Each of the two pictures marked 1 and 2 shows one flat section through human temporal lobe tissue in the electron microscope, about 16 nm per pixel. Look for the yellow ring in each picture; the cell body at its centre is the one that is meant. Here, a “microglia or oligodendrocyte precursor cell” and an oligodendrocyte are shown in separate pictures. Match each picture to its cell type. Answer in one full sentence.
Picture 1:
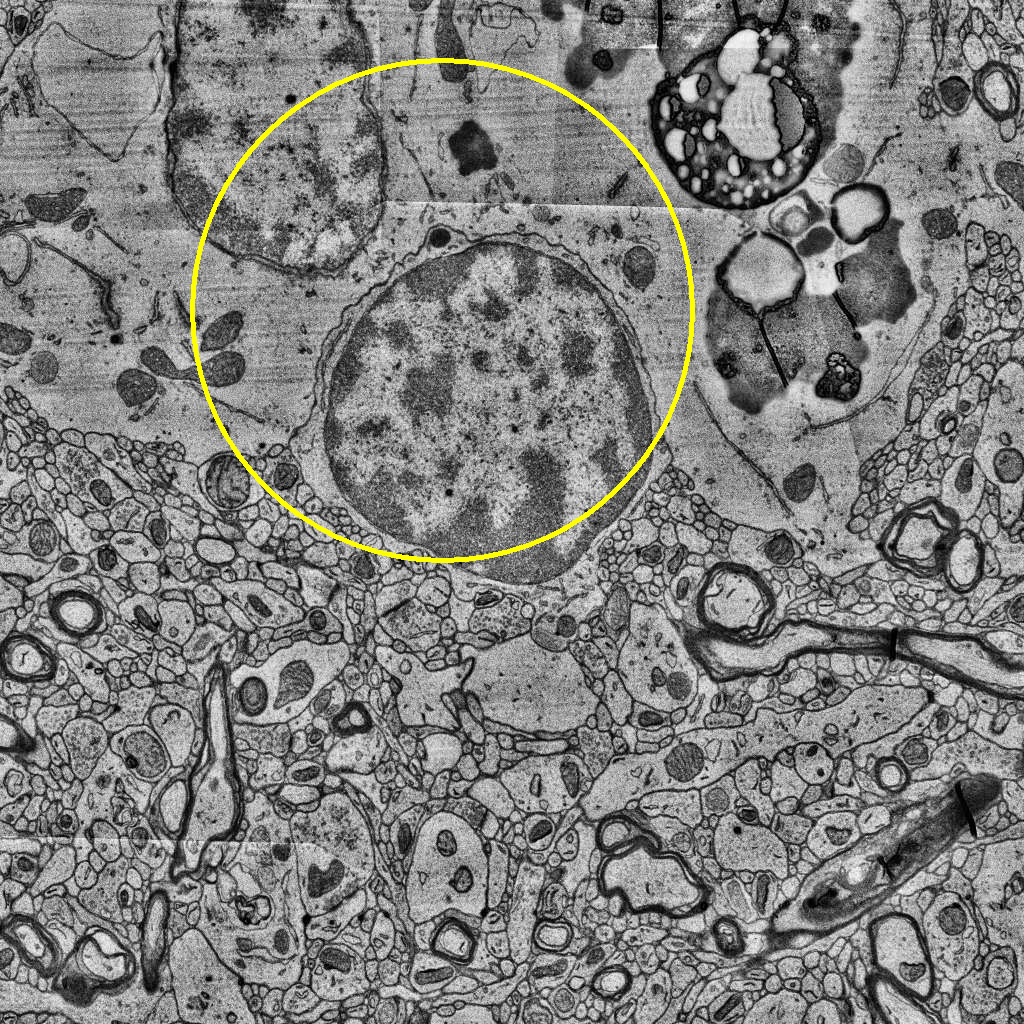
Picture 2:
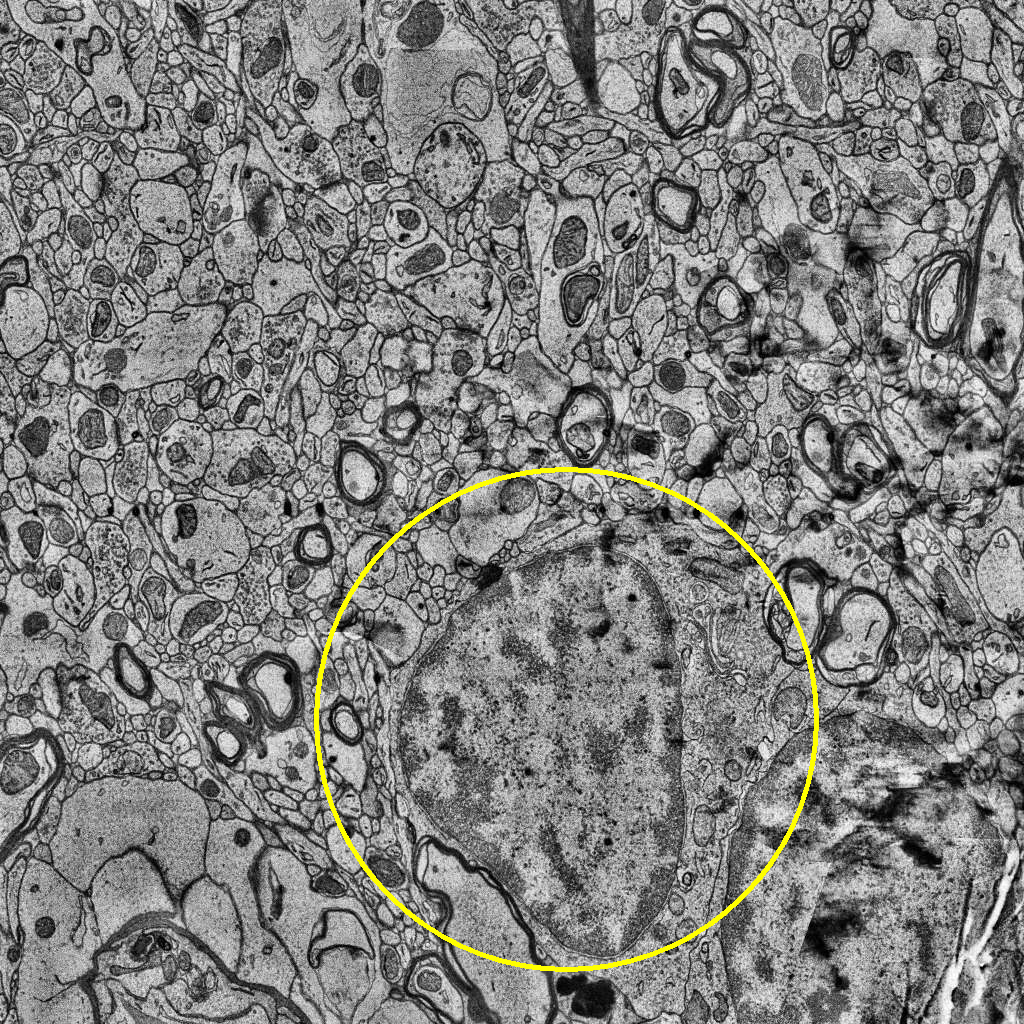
In picture 1 the cell is a “microglia or oligodendrocyte precursor cell”; in picture 2, an oligodendrocyte.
